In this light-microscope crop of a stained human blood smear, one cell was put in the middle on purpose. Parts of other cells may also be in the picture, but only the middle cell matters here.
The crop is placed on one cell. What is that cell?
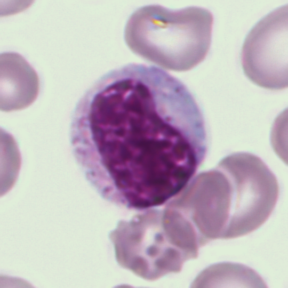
metamyelocyte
